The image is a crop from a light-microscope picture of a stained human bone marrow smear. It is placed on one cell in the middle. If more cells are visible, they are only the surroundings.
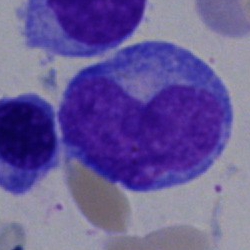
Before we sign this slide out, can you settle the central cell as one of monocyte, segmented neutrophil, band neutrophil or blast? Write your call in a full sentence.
Located at the centre of the crop is a blast.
